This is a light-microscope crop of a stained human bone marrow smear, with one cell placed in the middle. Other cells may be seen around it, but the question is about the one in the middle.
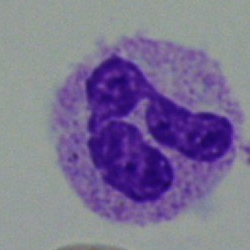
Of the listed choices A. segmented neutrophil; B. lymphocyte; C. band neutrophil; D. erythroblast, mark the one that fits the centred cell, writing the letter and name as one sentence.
The correct identification, given in option A, is that the central cell is a segmented neutrophil.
